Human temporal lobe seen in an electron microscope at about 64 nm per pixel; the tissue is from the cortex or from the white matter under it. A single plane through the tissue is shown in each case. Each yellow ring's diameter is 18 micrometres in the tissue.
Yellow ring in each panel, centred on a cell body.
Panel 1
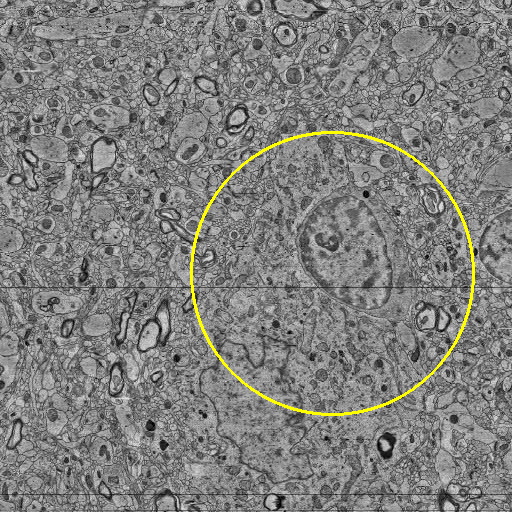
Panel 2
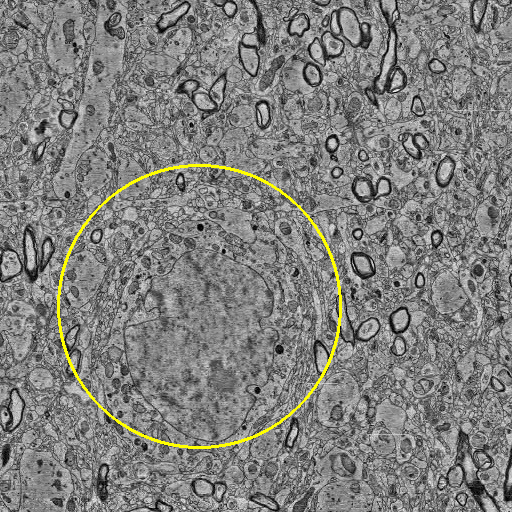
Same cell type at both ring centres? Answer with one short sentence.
No, the two cells are of two types.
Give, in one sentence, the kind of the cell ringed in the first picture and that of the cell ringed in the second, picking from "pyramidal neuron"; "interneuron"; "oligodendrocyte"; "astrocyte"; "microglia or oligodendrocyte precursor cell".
For the first picture it is an oligodendrocyte; for the second, an interneuron.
